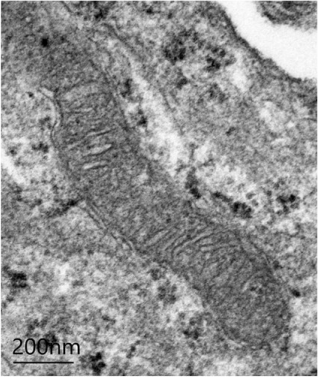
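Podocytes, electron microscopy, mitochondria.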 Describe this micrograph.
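Inside, numerous thin cristae cross the organelle transversely, packed close together and roughly parallel. The matrix between them is fairly uniform and moderately dense. Around it lies granular cytoplasm with scattered dark clusters of small particles.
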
